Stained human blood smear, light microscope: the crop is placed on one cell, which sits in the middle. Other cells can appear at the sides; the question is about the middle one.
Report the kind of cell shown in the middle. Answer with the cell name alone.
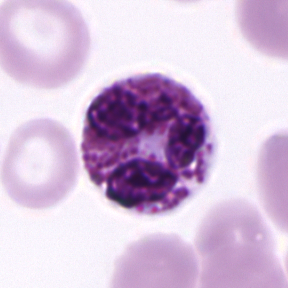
eosinophil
